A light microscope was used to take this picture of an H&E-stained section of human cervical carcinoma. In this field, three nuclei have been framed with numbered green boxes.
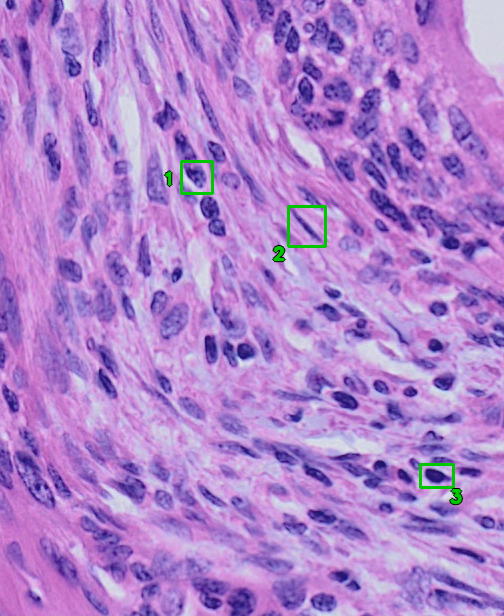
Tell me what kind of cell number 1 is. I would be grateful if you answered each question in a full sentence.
At number 1, the marked cell is a lymphocyte.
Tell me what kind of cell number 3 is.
Cell 3, among those numbered, is a lymphocyte.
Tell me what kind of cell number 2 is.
Recognised here as a fibroblast is the cell numbered 2.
